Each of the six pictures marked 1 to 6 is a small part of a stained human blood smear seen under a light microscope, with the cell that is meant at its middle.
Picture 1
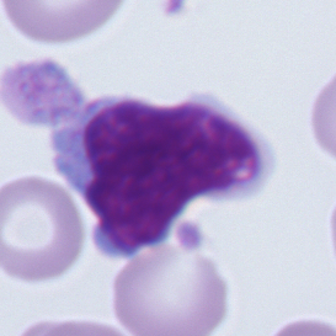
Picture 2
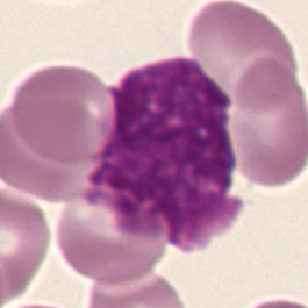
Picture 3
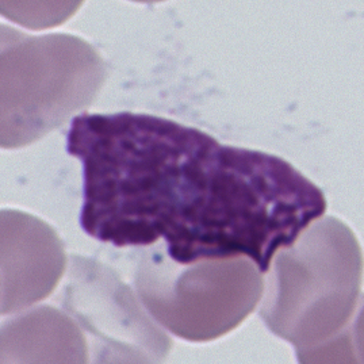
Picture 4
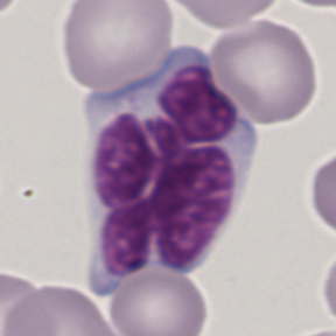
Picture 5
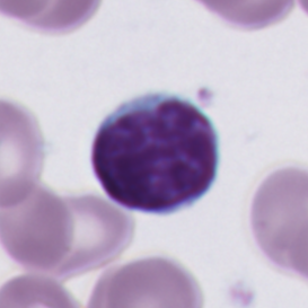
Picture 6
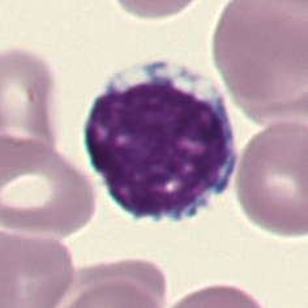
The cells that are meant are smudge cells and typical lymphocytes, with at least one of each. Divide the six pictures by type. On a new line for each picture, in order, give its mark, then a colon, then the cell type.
1: typical lymphocyte
2: smudge cell
3: smudge cell
4: typical lymphocyte
5: typical lymphocyte
6: typical lymphocyte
